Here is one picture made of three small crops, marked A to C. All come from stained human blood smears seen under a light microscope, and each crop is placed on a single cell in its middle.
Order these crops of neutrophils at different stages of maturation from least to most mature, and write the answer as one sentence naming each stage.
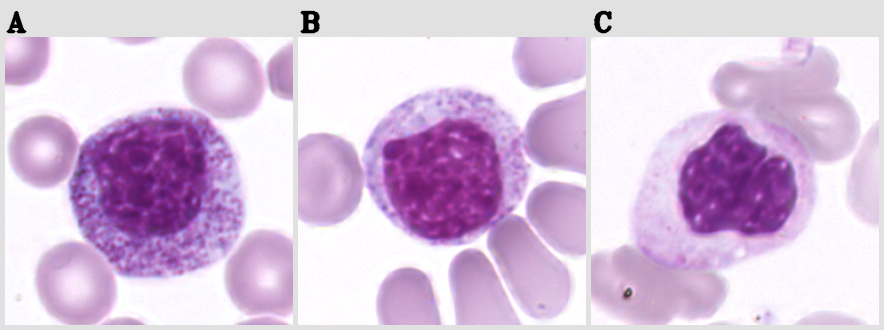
Sorted by stage of maturation, earliest first, the sequence is crop A (a myelocyte), crop B (a metamyelocyte) and crop C (a band neutrophil).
